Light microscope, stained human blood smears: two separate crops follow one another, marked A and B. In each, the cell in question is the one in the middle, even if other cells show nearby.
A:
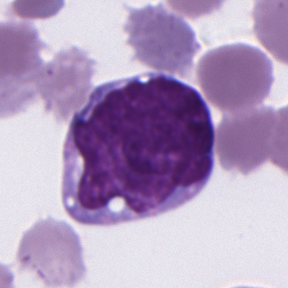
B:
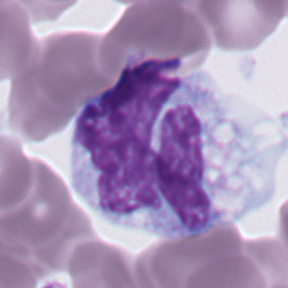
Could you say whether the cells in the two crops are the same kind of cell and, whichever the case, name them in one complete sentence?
Yes, both crops have monocytes as their central cells.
